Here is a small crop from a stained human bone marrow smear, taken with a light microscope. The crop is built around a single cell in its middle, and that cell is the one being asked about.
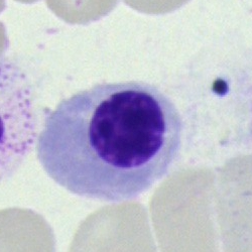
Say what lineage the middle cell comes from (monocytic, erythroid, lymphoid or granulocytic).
erythroid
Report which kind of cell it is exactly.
erythroblast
